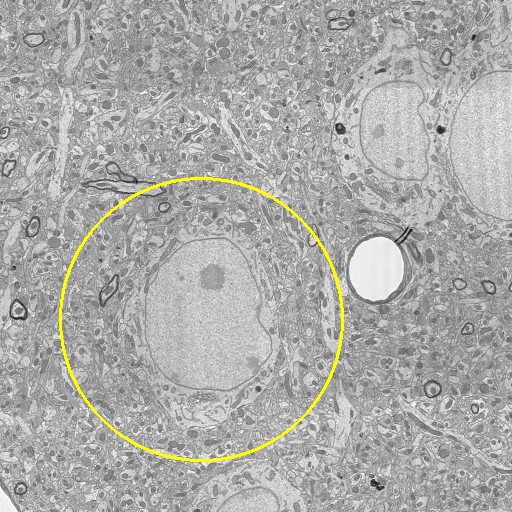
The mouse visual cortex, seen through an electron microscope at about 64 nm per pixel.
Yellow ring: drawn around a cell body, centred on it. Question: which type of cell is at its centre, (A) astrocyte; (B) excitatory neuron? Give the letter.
B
